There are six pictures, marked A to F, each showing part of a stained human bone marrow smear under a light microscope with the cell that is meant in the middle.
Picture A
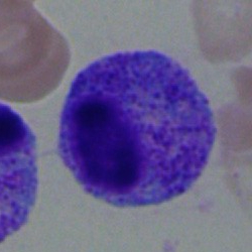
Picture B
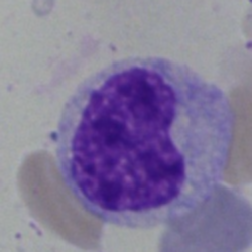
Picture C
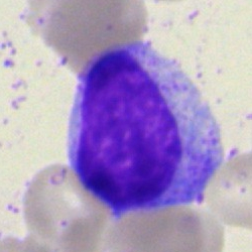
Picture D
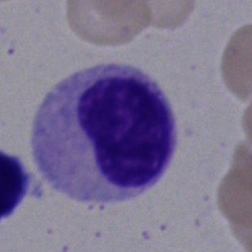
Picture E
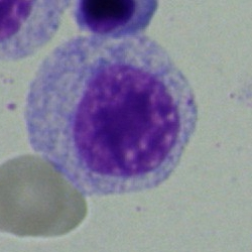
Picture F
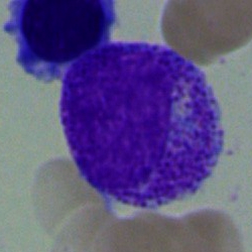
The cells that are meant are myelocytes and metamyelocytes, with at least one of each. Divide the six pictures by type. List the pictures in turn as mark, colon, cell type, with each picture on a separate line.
A: myelocyte
B: metamyelocyte
C: myelocyte
D: metamyelocyte
E: myelocyte
F: myelocyte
